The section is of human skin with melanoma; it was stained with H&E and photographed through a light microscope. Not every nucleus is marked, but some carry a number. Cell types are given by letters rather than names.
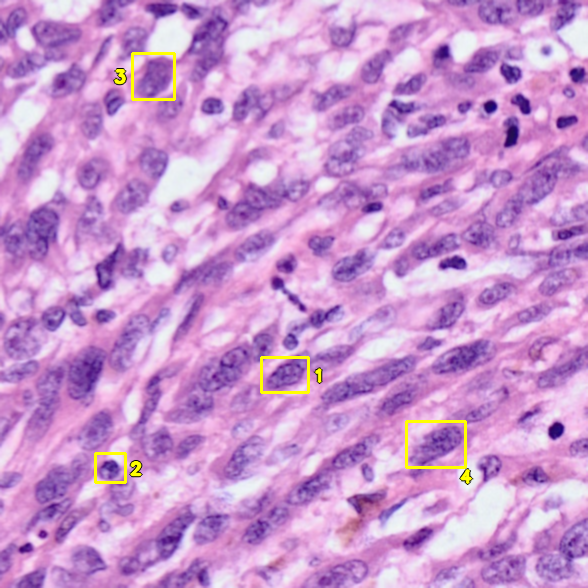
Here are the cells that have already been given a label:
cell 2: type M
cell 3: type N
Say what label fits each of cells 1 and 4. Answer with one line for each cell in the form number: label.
1: type N
4: type N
